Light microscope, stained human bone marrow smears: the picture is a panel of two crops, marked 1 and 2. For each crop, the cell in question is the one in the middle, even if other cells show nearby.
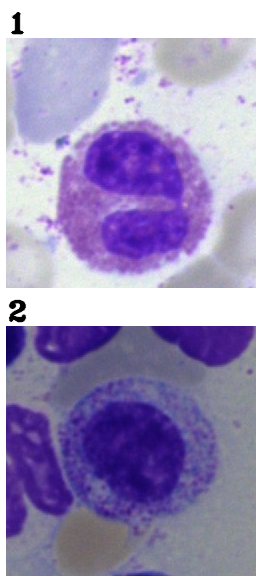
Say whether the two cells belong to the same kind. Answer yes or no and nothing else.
no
